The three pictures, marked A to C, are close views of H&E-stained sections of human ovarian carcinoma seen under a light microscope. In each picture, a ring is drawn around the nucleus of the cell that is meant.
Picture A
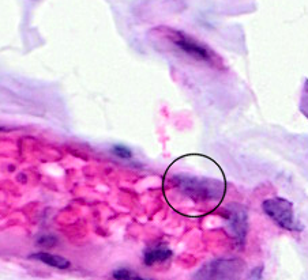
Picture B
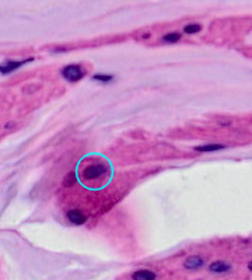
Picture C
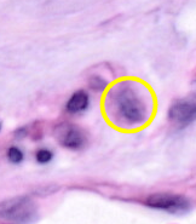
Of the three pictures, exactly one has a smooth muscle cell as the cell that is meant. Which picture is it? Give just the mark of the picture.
B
